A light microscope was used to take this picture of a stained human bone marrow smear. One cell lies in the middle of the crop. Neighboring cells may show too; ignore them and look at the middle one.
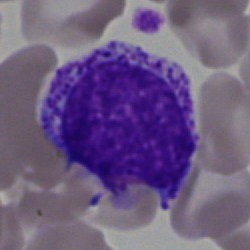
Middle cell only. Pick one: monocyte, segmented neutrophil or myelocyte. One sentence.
Classification of the middle cell gives a myelocyte.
